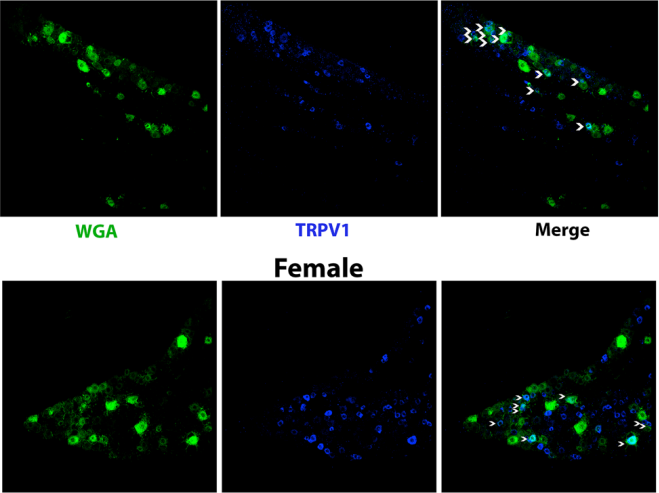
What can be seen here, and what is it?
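These are sections of a sensory ganglion with rounded neuronal cell bodies of varying size scattered through it. Some cell bodies are filled brightly with green, others show only a faint green rim or granular green cytoplasm. In the blue channel, many smaller round cell bodies are outlined, often crowded into clusters. In the merged images, a minority of cell bodies appear both green and blue, and these are marked by small white arrowheads.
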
